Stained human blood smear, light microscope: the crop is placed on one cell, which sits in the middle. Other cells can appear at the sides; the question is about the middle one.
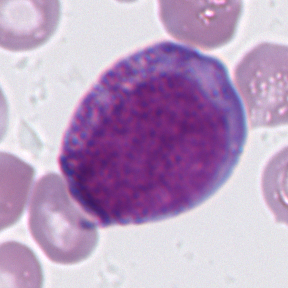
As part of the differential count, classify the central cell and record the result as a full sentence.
The cell of interest, located centrally, is a promyelocyte.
